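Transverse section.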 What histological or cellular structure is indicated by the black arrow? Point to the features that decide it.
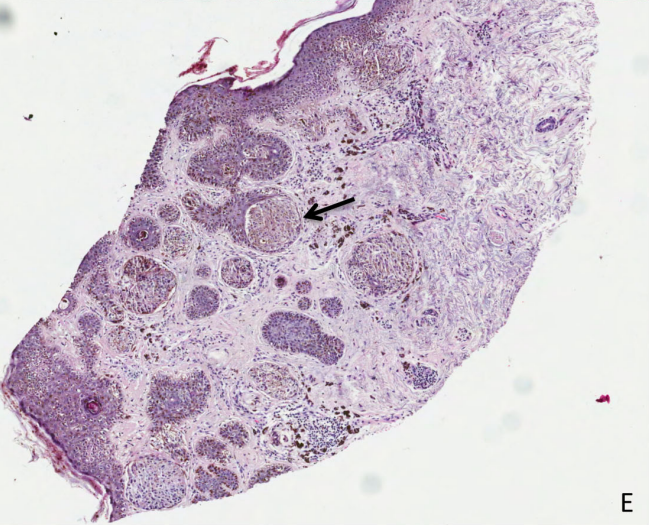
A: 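The arrow points to a rounded, well-demarcated group of pale cells in the dermis. Many similar rounded cell groups of varying size lie around it.
Hence: nest.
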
